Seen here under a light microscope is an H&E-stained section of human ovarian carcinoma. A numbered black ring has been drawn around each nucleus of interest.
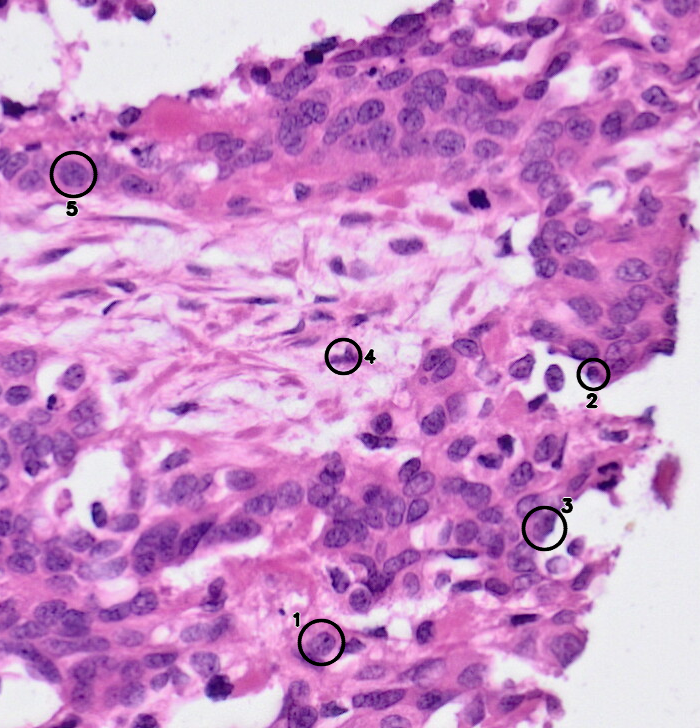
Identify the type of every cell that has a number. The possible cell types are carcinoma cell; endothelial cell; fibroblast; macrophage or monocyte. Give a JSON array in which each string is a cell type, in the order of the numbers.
["macrophage or monocyte", "carcinoma cell", "carcinoma cell", "fibroblast", "carcinoma cell"]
